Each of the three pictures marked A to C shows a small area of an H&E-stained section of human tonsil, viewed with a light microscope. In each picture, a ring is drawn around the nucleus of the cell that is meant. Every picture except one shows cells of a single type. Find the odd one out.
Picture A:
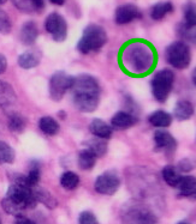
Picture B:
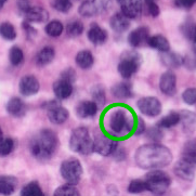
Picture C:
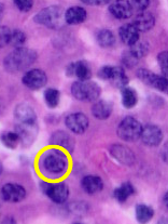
C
